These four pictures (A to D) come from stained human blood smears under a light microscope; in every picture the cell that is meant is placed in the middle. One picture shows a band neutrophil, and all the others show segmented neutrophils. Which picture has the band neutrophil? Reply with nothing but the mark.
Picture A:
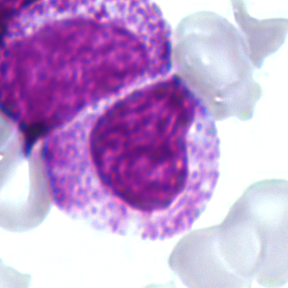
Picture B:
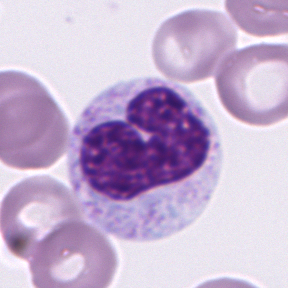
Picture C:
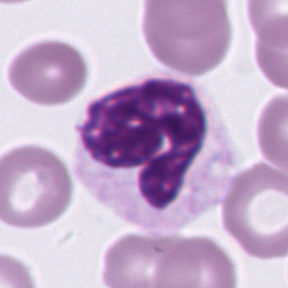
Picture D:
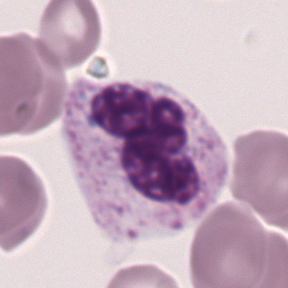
A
